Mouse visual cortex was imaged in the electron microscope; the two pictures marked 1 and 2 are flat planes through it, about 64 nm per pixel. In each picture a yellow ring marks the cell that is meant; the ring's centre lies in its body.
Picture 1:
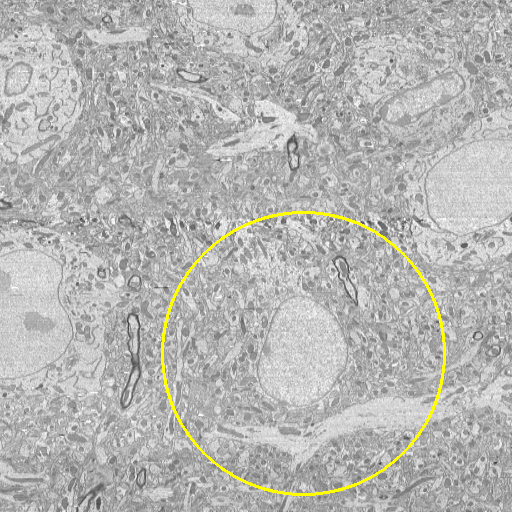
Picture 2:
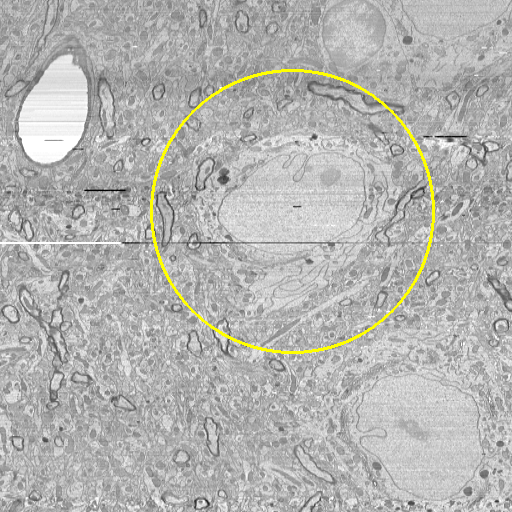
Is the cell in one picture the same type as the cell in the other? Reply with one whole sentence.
No; the cell in picture 1 is an astrocyte, while the one in picture 2 is an excitatory neuron.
